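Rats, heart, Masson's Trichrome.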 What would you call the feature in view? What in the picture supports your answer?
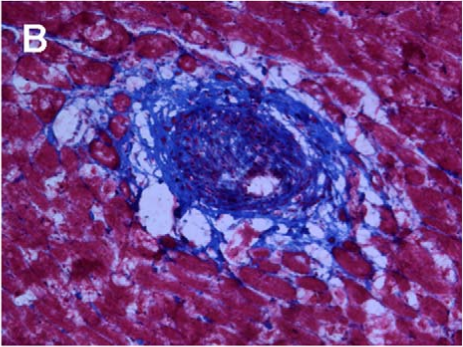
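Coronary arteries. The vessel wall is surrounded by concentric blue-stained fibrous tissue.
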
